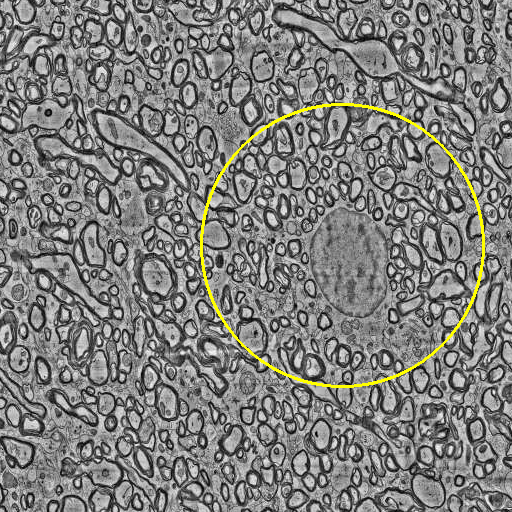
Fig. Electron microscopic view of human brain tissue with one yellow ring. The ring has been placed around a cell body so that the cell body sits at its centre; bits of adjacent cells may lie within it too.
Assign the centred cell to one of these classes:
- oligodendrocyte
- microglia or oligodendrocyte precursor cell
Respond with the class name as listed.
oligodendrocyte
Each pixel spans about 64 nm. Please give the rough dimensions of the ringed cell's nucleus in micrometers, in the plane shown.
In this plane, about 7 micrometres in length and 5 in width.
